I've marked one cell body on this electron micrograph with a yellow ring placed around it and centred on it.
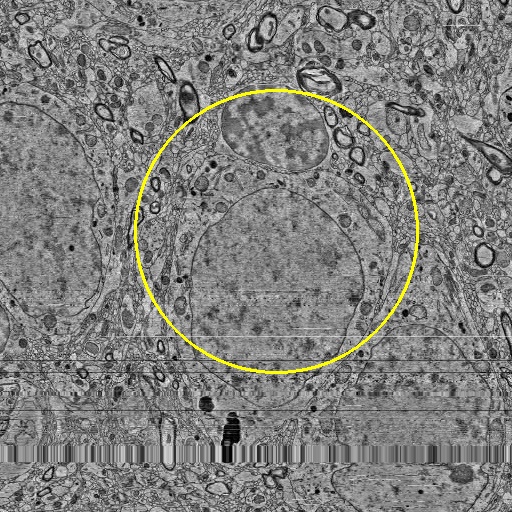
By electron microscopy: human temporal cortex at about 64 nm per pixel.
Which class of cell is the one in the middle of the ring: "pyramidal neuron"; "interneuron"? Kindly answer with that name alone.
pyramidal neuron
